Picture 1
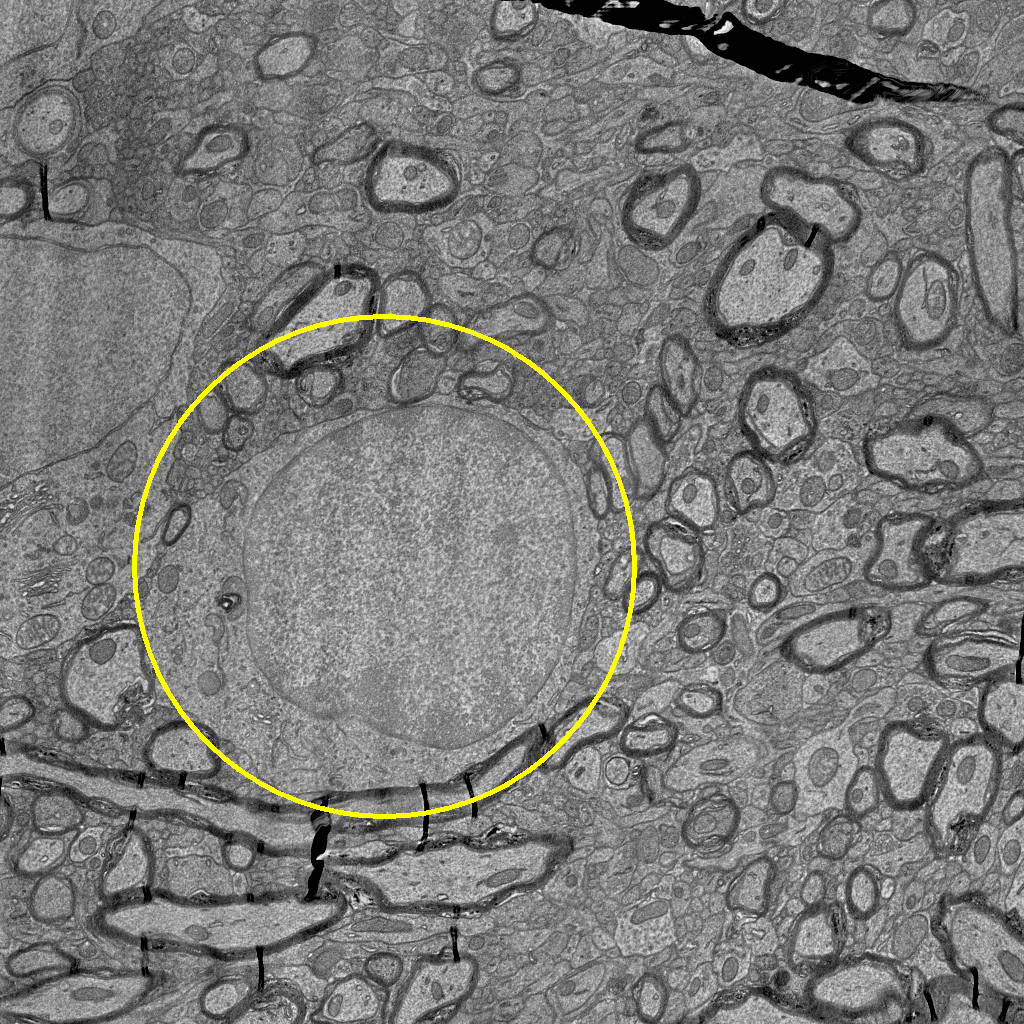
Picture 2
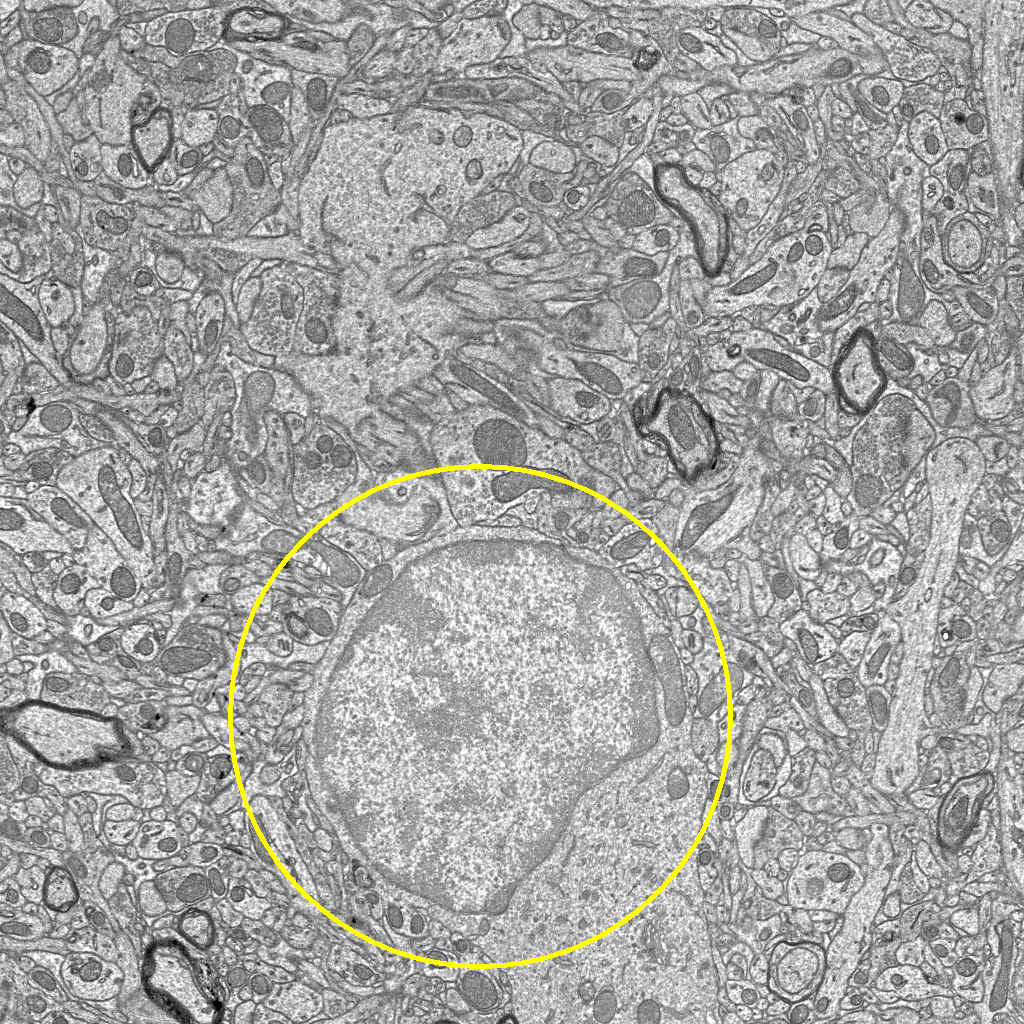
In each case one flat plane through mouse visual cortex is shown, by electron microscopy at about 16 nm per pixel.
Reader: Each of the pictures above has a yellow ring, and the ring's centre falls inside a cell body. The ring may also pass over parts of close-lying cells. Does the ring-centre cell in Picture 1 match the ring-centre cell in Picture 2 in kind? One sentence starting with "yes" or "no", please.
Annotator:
Yes, Picture 1 and Picture 2 show ring-centre cells of a single kind.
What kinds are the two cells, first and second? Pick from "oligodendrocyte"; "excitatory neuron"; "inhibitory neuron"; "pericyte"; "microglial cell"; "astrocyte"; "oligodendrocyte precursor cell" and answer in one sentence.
The second cell is an oligodendrocyte, just as the first is.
